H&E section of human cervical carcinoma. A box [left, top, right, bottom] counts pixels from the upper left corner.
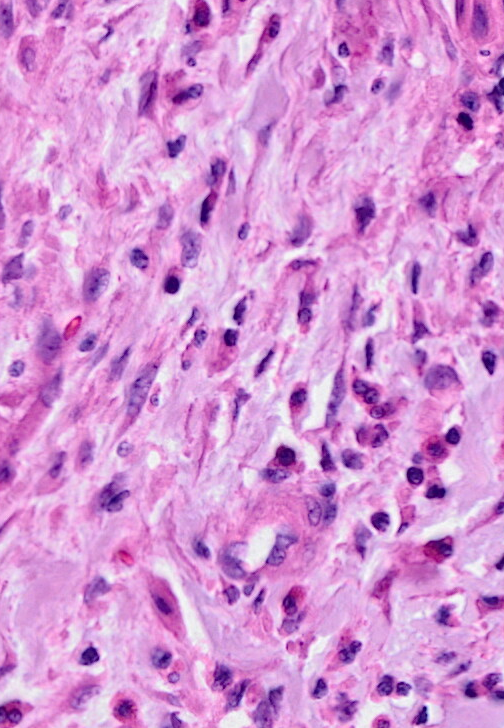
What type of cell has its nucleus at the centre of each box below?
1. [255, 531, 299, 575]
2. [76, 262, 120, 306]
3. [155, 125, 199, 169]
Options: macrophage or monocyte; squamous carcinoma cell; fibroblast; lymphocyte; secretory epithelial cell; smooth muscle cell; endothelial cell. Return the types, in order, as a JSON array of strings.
["endothelial cell", "endothelial cell", "lymphocyte"]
